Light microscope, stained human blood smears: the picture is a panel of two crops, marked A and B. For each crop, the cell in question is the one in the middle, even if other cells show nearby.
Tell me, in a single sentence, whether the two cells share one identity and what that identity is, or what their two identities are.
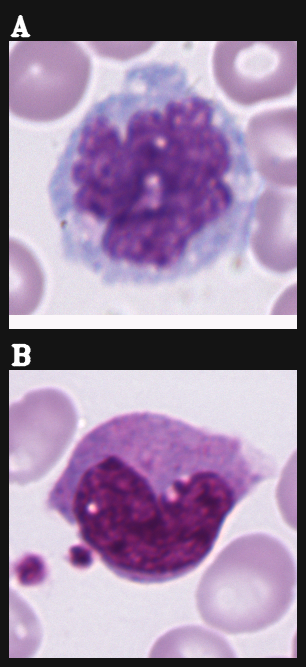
Yes, the two crops show monocytes, one cell each.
